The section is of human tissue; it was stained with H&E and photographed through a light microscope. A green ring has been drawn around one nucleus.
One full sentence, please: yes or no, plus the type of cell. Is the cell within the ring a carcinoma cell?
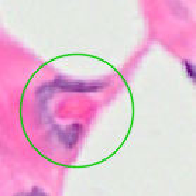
No, the cell within the ring qualifies as an endothelial cell and does not qualify as a carcinoma cell.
